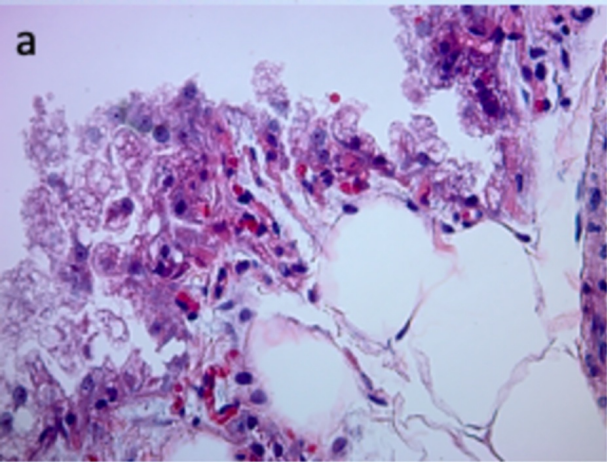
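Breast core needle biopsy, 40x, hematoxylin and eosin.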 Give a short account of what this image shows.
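The cells have round, fairly uniform dark nuclei and abundant pale, bubbly, vacuolated cytoplasm; red blood cells lie scattered among them. Large empty fat cells with thin walls lie beneath the lining.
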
